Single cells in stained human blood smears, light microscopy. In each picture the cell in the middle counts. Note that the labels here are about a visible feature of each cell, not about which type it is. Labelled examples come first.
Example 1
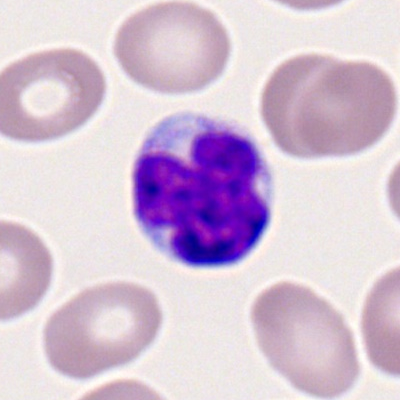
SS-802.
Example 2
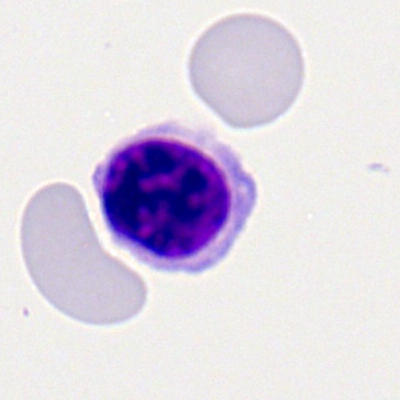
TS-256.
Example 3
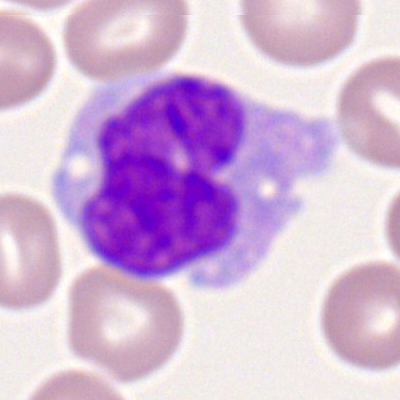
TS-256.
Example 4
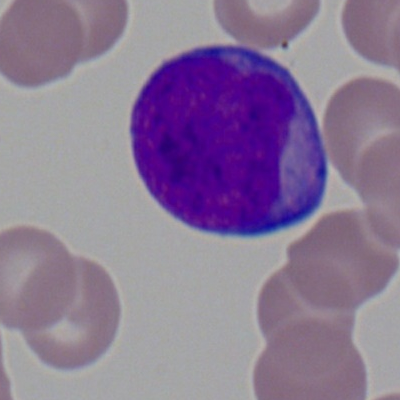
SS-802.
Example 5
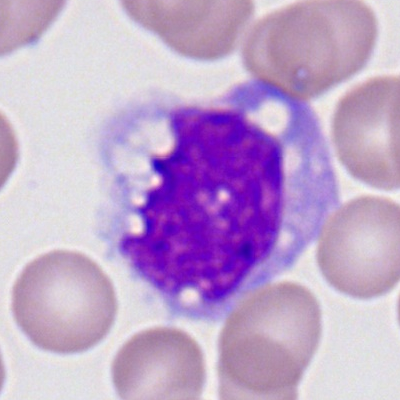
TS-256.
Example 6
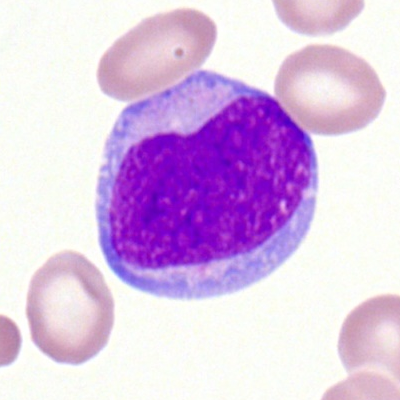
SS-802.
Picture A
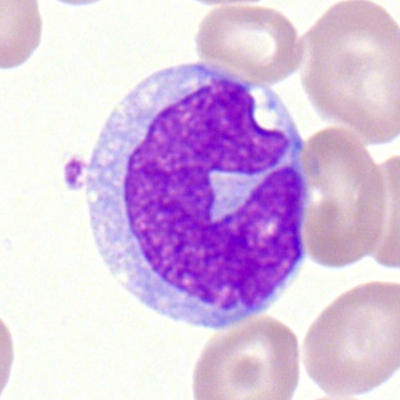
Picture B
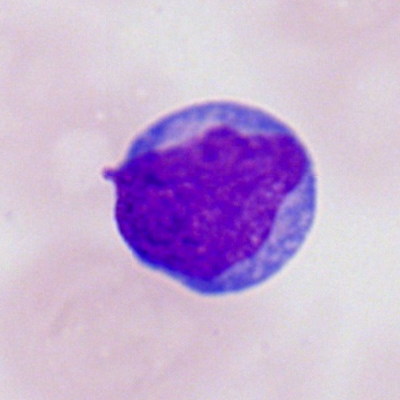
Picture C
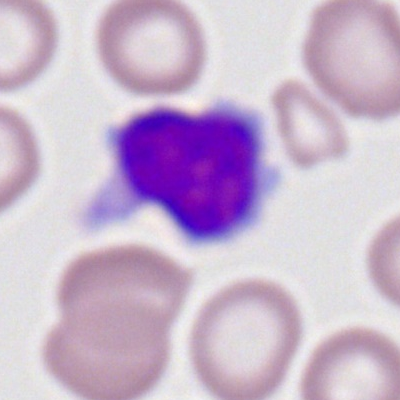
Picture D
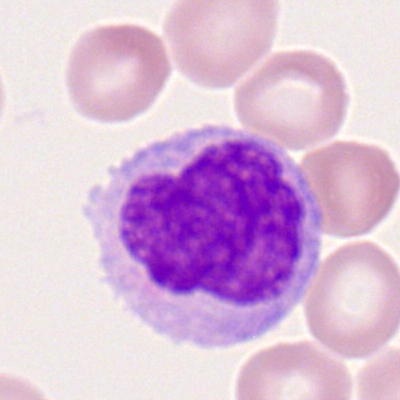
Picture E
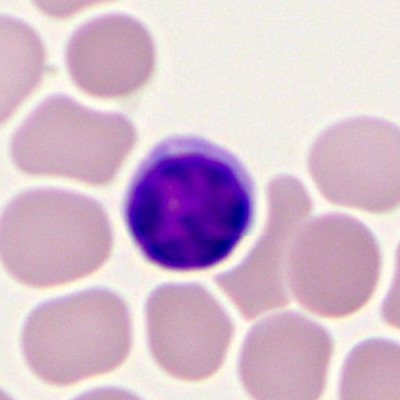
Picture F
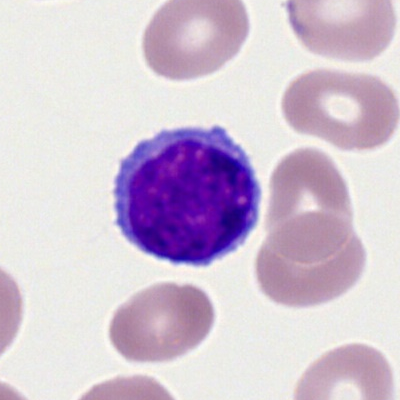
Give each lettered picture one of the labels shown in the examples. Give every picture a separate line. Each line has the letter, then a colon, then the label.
A: SS-802.
B: TS-256.
C: TS-256.
D: TS-256.
E: SS-802.
F: TS-256.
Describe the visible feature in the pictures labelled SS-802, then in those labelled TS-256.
SS-802, smooth outline; TS-256, ragged outline or projections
